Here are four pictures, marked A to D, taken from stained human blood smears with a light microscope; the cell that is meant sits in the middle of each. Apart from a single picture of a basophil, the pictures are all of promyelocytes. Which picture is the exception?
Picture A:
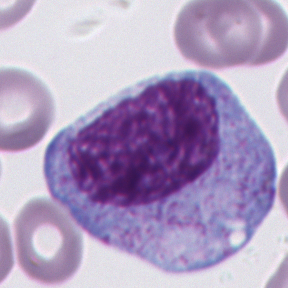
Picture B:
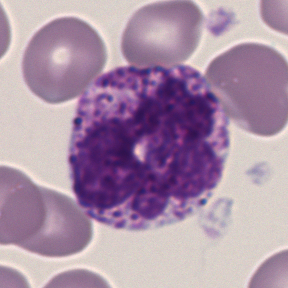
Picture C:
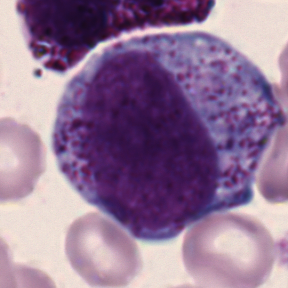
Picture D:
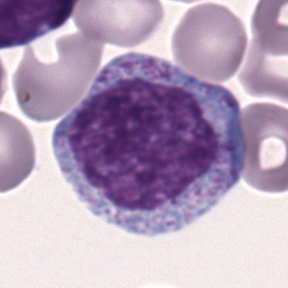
B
